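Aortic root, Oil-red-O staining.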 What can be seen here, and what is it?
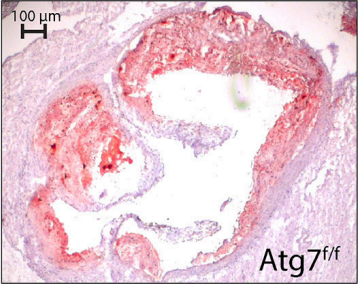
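The red plaques form broad, irregular masses around the lumen and as rounded nodules near the base of the leaflets. The surrounding wall and adventitial tissue stain pale violet, with scattered small nuclei. The lumen itself is largely clear.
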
